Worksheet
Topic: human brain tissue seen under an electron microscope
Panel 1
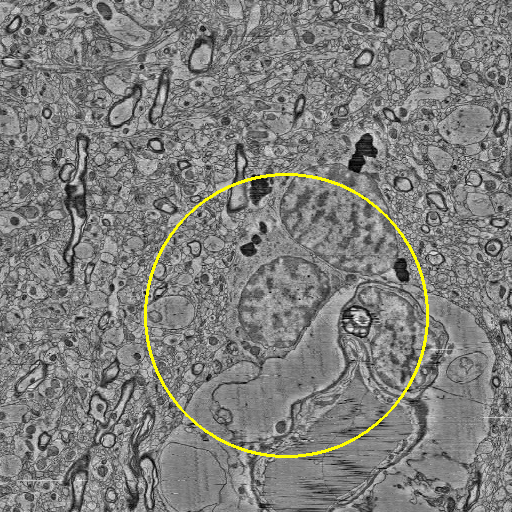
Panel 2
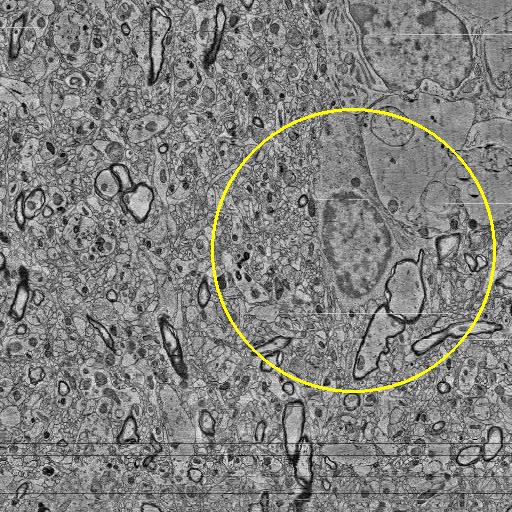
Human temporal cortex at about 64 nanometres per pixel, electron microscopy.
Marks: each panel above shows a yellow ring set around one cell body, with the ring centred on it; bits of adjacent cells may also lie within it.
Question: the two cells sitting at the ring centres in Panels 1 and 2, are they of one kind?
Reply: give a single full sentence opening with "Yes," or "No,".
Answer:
Yes, the two ring-centre cells in Panel 1 and Panel 2 are of one kind.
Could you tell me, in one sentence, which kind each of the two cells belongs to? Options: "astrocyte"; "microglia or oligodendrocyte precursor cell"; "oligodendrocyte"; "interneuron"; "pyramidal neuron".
The first and the second cell are each an oligodendrocyte.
